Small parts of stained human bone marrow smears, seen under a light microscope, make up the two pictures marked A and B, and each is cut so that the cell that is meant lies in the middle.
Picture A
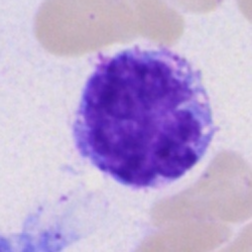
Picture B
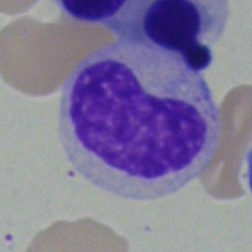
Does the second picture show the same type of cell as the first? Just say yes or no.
no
